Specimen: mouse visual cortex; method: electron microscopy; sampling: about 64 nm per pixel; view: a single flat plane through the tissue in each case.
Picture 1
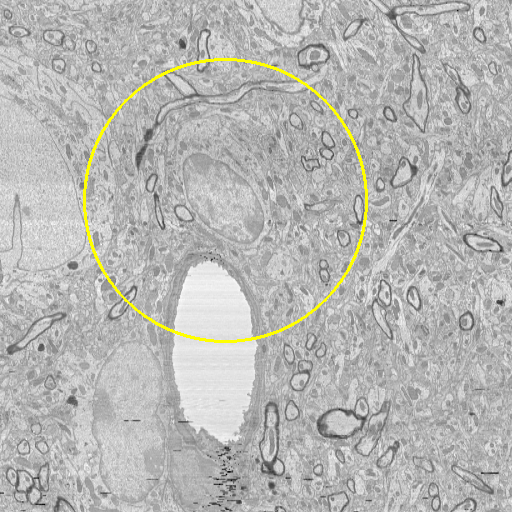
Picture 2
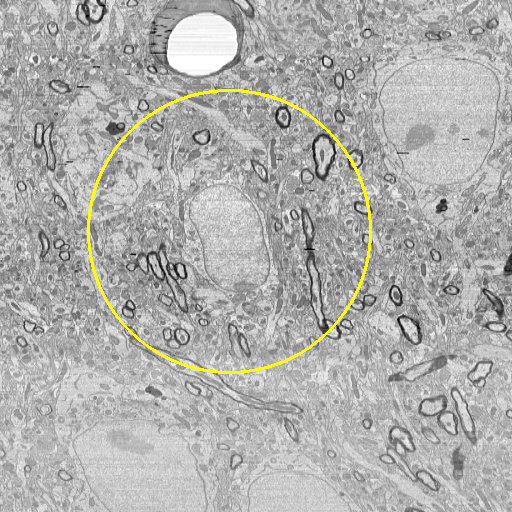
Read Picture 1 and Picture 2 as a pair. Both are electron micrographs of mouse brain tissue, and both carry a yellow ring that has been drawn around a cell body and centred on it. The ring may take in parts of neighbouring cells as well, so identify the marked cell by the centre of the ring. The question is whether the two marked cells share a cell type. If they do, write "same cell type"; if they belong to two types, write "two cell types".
two cell types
